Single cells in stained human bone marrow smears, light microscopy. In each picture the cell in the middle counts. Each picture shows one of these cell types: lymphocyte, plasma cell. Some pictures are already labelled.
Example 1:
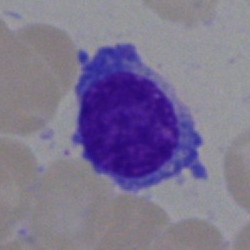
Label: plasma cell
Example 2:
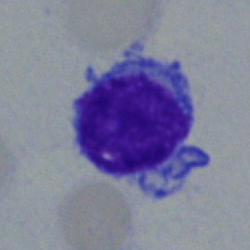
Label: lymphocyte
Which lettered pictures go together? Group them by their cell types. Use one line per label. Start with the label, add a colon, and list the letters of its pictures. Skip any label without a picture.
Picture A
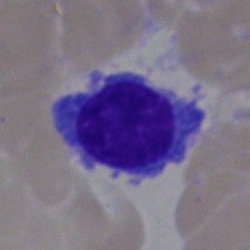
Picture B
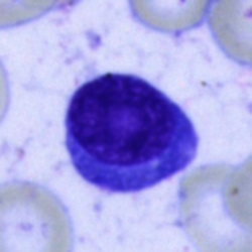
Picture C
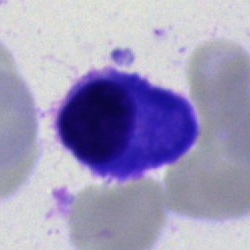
plasma cell: A, B, C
